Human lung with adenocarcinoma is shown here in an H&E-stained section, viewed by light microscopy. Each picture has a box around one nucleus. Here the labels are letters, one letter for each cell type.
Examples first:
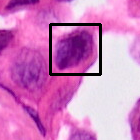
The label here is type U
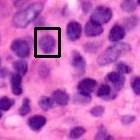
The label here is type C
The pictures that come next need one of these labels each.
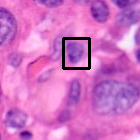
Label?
type C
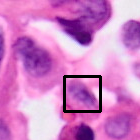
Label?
type U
